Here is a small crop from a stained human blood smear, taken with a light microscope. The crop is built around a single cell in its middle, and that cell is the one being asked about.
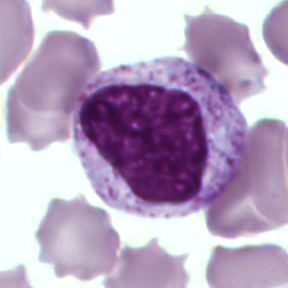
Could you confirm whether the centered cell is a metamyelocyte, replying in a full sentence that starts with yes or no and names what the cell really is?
Yes, the cell that lies centrally is a metamyelocyte.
